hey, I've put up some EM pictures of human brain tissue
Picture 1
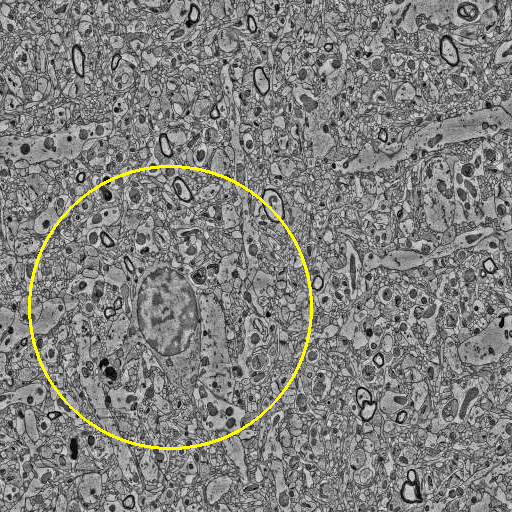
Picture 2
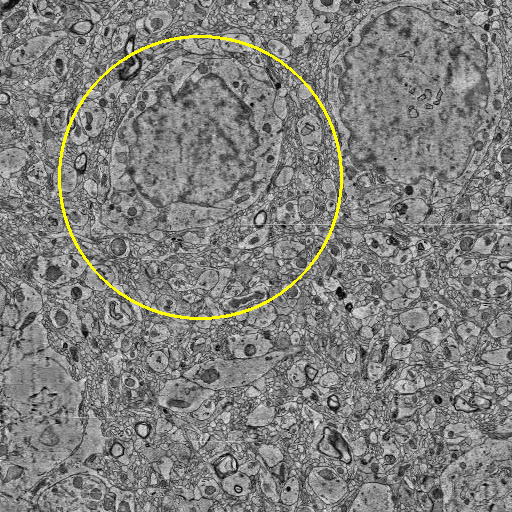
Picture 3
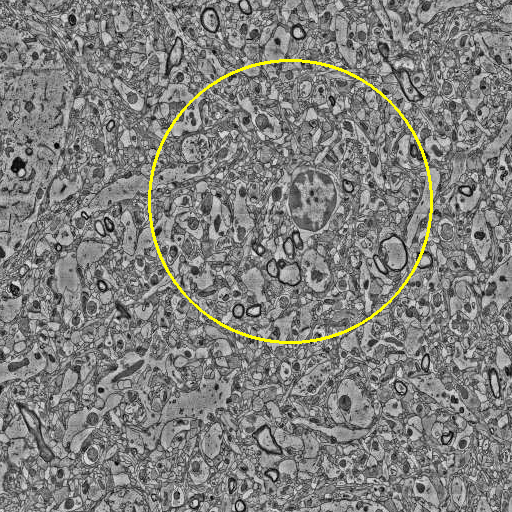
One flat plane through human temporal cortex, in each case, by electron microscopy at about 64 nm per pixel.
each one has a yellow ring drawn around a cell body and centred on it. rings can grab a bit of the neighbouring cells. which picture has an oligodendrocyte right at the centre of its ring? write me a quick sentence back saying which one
It's Picture 1.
